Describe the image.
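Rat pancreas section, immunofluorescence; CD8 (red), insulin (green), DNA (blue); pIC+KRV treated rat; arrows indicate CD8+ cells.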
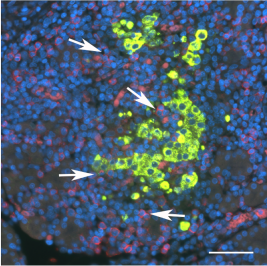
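A pancreatic islet appears broken up and crowded with small infiltrating cells. Between and around them the field is densely packed with blue nuclei, far more than in an intact islet, and many small round cells with red-outlined surfaces are dispersed through the islet and along its border. The islet outline is indistinct, merging with the surrounding cellular tissue.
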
